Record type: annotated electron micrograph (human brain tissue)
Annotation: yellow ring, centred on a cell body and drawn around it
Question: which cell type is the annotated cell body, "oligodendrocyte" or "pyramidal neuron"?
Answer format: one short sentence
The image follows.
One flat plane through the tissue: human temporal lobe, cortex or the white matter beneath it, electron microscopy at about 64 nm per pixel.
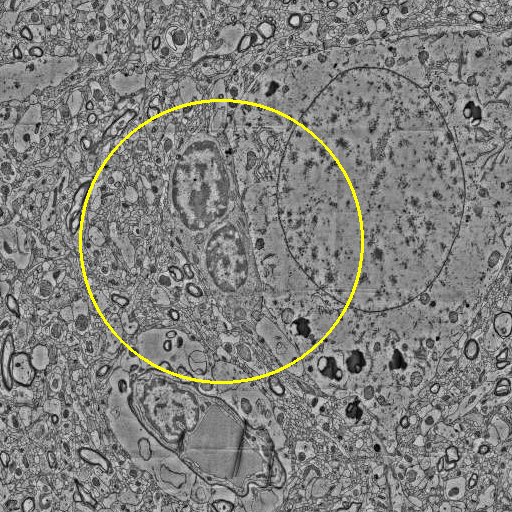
The annotated cell body is that of an oligodendrocyte.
